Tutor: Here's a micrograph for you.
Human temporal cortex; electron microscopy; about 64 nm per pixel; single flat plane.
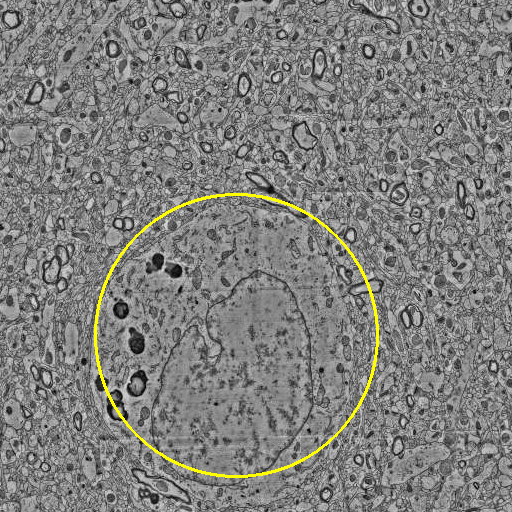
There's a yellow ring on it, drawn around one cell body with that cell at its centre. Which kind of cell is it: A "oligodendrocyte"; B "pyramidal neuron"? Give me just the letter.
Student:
B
